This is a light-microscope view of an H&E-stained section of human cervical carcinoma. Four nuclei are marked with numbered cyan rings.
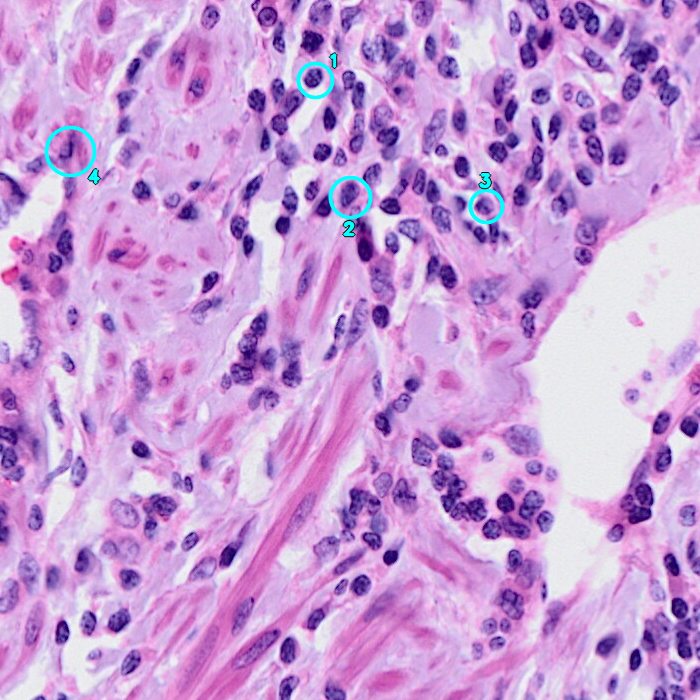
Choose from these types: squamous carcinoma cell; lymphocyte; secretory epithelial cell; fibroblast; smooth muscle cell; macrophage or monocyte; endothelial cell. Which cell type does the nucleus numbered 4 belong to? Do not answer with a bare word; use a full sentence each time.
The cell referred to as 4 is an endothelial cell.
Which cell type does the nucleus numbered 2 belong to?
The label 2 in this section denotes a lymphocyte.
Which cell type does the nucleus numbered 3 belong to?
The cell bearing label 3 corresponds to a lymphocyte.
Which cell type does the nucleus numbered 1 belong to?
The cell with the number 1 is a lymphocyte.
